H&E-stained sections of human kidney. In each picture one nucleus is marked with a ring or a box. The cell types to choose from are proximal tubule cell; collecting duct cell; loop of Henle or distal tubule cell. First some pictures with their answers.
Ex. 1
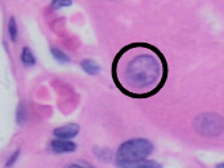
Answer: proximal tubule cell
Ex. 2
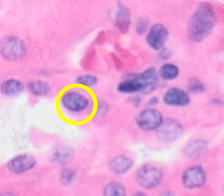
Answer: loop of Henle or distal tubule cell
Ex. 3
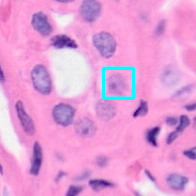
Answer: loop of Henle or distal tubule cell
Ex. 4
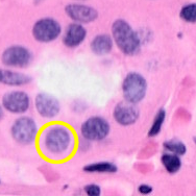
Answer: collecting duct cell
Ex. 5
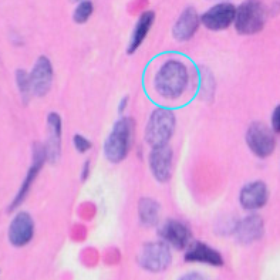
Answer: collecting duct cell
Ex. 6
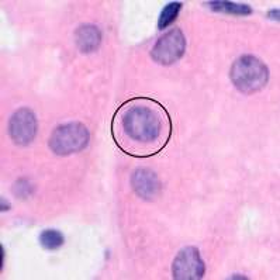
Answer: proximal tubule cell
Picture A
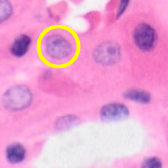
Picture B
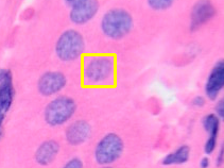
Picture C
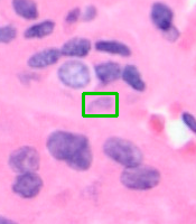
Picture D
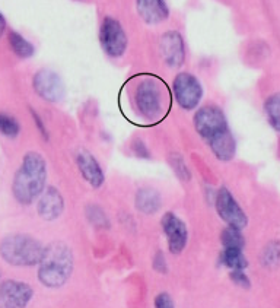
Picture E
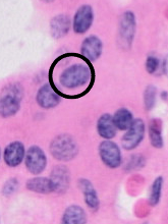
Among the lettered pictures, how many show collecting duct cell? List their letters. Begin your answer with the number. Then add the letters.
Count: 2 (C, E)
